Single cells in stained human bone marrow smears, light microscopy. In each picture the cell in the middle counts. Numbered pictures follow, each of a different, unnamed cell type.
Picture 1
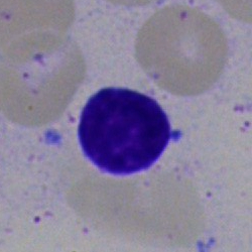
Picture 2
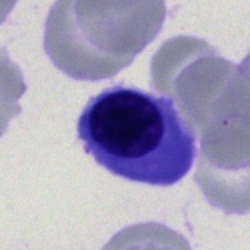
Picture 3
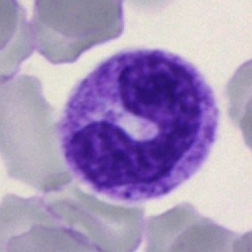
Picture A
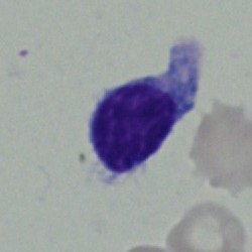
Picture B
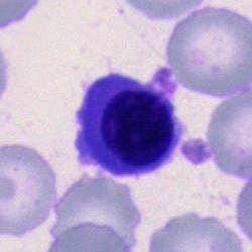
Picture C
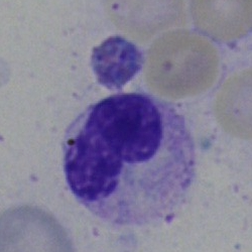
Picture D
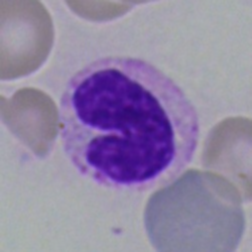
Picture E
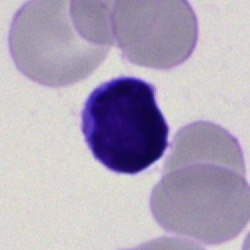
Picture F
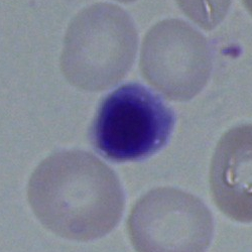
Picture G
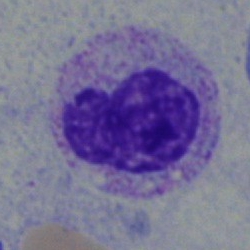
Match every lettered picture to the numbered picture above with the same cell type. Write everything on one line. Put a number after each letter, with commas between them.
A 1, B 2, C 3, D 3, E 1, F 2, G 3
